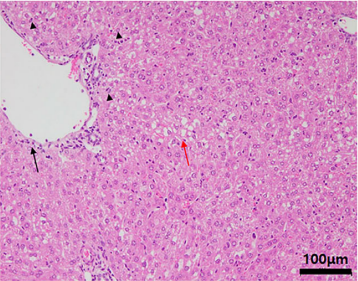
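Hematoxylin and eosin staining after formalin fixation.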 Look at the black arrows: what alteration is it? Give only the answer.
Inflammatory cell infiltration.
